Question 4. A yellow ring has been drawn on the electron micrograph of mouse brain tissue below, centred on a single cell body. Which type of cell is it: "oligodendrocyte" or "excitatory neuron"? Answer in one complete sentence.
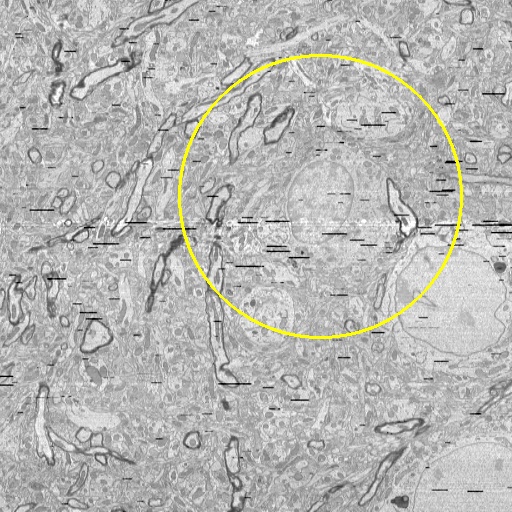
This cell body belongs to an oligodendrocyte.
